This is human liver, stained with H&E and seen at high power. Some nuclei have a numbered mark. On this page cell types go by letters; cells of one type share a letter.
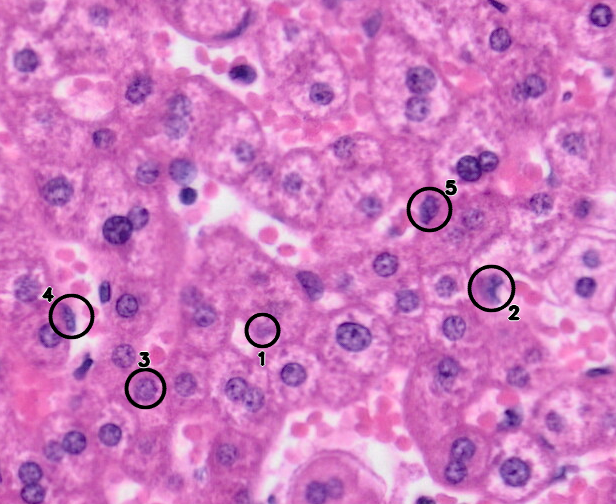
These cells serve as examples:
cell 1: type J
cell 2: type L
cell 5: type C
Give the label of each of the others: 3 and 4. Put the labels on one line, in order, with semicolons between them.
type J; type L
